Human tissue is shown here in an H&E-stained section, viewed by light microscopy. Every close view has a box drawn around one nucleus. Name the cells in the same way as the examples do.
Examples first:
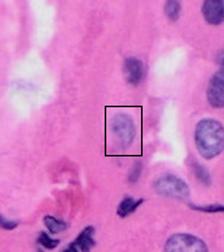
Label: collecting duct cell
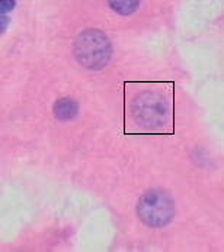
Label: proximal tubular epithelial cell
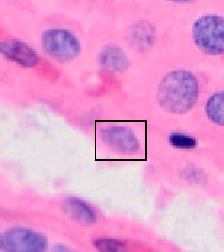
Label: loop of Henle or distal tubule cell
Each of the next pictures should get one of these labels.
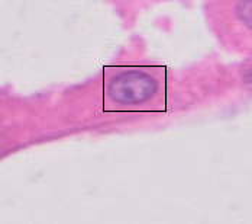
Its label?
proximal tubular epithelial cell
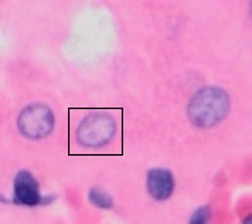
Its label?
proximal tubular epithelial cell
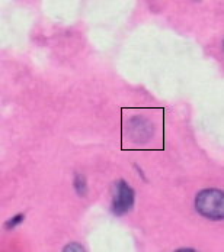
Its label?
proximal tubular epithelial cell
